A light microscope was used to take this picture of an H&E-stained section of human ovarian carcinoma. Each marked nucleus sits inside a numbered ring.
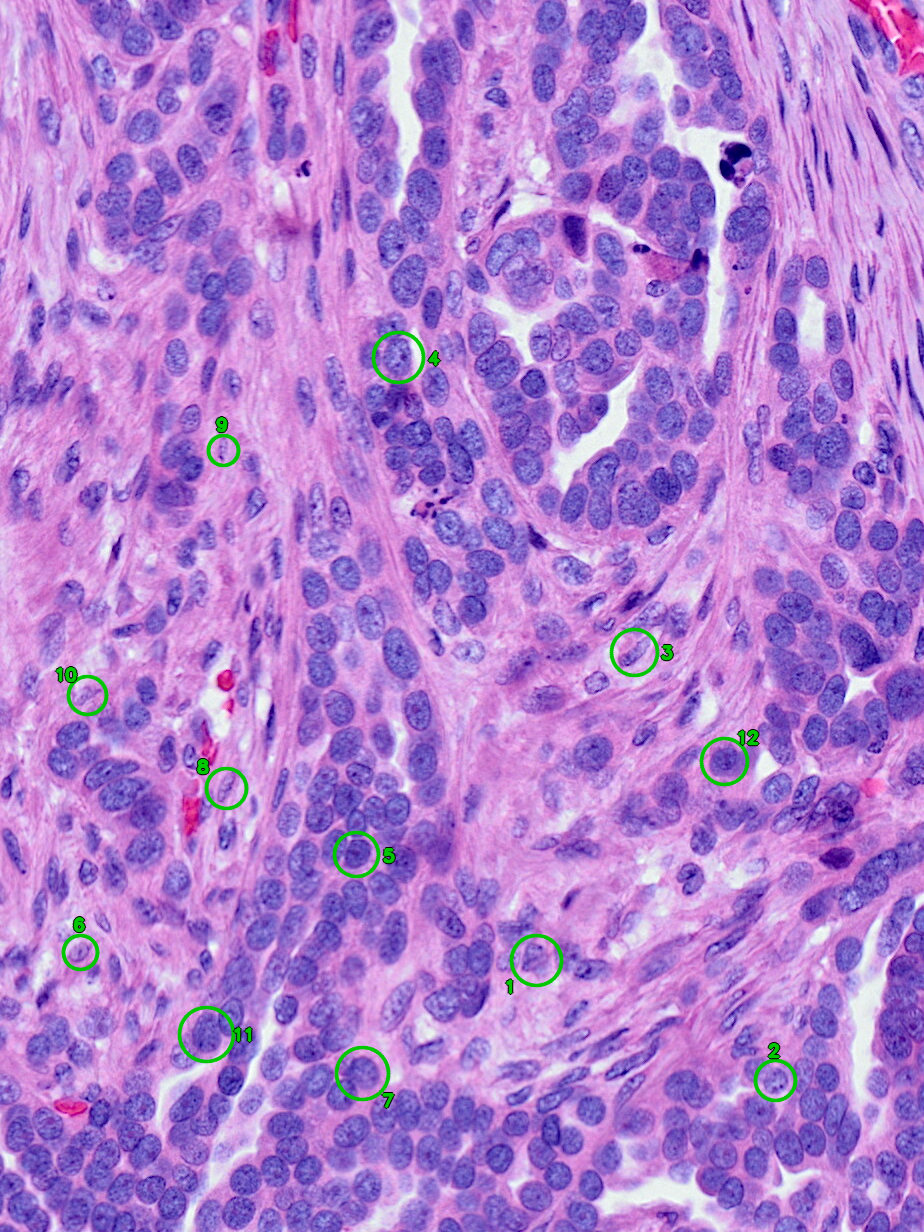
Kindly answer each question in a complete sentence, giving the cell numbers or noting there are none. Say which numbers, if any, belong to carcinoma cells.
The cells numbered 4, 5, 7, 11 and 12 are of the kind known as carcinoma cells.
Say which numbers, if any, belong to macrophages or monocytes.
Cell 2 is the only one of the numbered cells that is a macrophage or monocyte.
